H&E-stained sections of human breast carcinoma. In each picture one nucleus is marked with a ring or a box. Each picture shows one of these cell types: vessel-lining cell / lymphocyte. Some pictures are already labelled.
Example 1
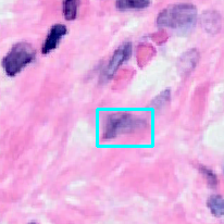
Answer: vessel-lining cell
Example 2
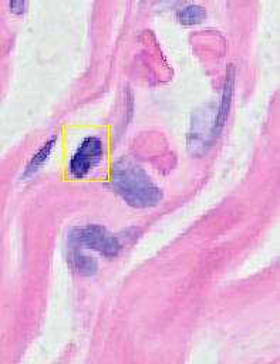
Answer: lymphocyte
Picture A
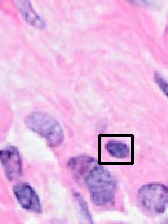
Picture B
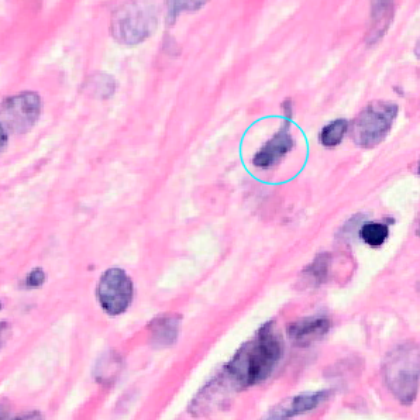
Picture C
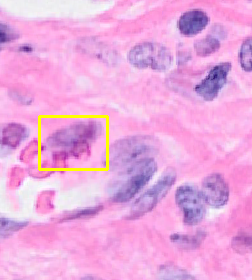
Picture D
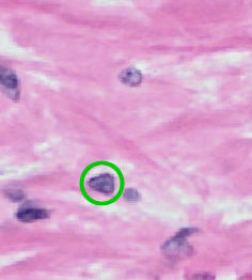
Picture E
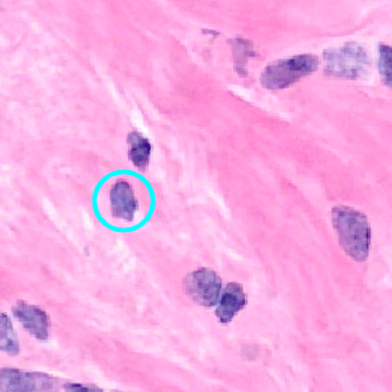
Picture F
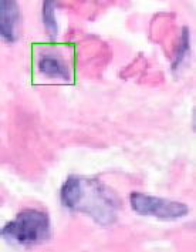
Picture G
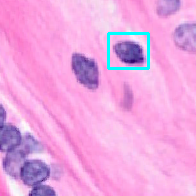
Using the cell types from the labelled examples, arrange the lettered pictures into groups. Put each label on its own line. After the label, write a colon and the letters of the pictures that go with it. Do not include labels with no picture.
vessel-lining cell: C, F
lymphocyte: A, B, D, E, G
